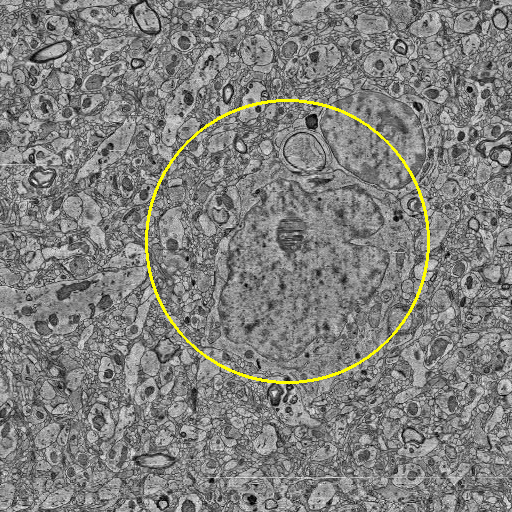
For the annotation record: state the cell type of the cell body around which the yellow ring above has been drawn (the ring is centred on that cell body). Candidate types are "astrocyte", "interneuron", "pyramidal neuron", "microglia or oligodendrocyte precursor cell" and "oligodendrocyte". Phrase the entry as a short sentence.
The ringed cell is an interneuron.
